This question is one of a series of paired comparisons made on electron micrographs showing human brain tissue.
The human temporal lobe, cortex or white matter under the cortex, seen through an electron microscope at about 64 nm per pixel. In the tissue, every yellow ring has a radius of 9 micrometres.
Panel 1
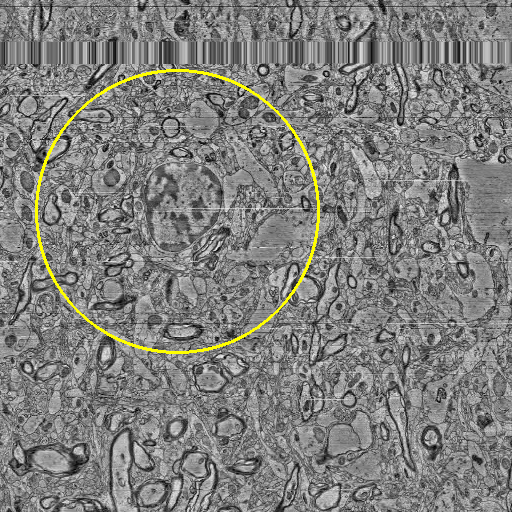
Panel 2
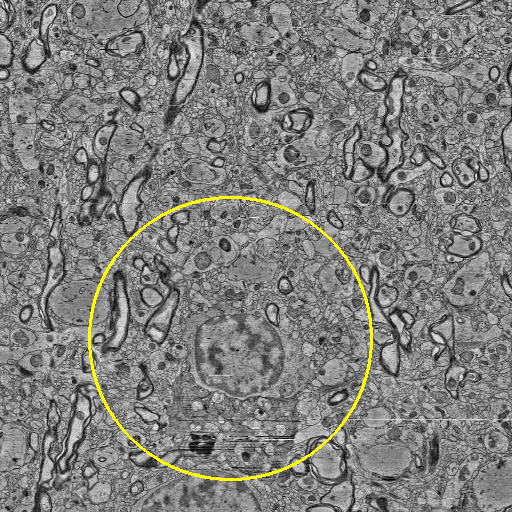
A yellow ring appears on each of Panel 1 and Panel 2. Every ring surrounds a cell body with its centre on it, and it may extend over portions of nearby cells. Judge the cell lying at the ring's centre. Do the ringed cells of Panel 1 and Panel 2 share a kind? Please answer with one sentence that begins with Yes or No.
No, the ring-centre cell in Panel 1 and the one in Panel 2 are of two kinds.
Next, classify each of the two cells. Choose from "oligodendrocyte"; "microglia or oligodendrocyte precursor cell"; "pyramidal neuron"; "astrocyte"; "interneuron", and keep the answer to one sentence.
In the first picture it is a microglial cell or oligodendrocyte precursor cell; in the second it is an oligodendrocyte.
